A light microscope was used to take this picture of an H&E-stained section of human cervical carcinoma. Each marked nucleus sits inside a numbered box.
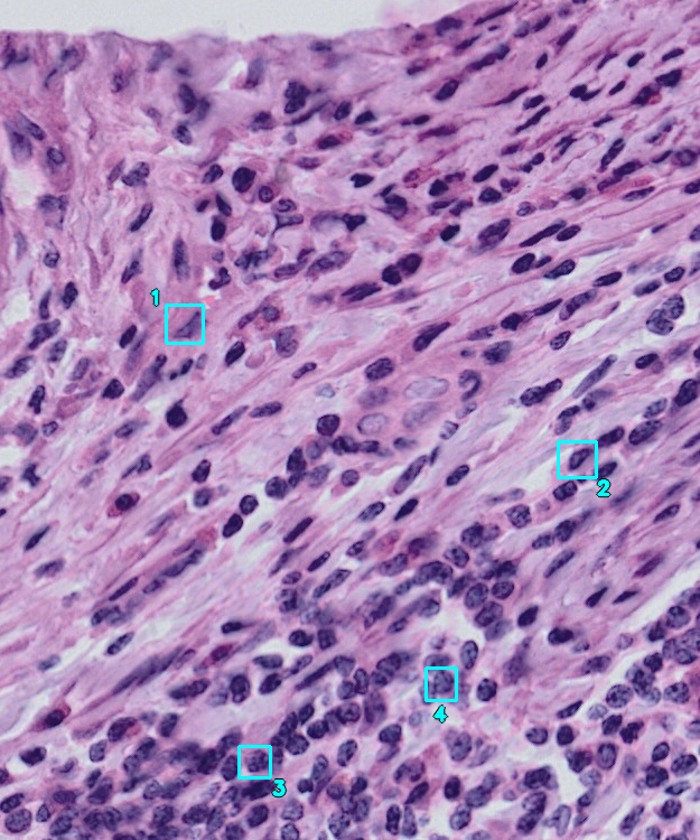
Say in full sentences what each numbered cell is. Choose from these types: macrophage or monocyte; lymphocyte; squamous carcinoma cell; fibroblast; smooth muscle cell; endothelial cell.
Cell 1 is an endothelial cell. Cells 2, 3 and 4 are lymphocytes.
